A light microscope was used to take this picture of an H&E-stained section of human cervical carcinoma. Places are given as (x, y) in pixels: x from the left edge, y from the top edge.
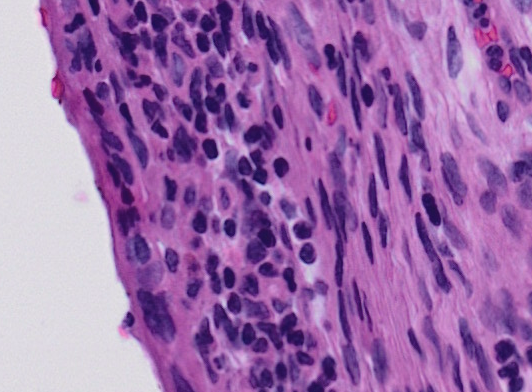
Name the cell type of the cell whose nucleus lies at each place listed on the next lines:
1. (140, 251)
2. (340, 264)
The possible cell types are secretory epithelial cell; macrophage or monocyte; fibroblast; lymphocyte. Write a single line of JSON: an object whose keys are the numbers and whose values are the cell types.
{"1": "secretory epithelial cell", "2": "fibroblast"}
